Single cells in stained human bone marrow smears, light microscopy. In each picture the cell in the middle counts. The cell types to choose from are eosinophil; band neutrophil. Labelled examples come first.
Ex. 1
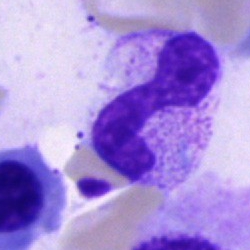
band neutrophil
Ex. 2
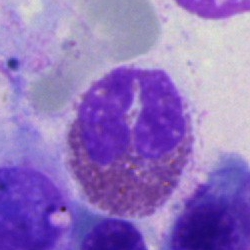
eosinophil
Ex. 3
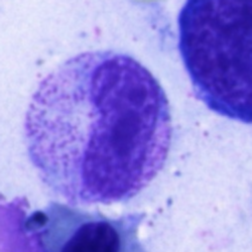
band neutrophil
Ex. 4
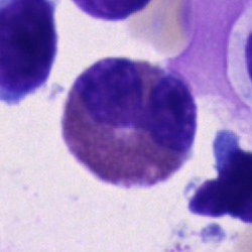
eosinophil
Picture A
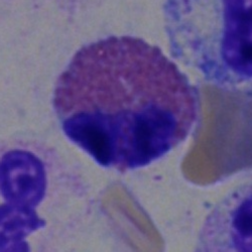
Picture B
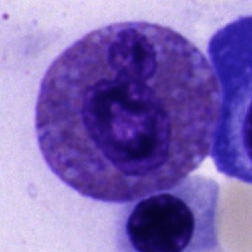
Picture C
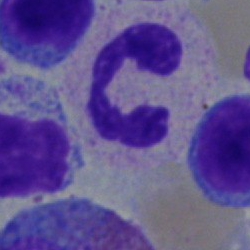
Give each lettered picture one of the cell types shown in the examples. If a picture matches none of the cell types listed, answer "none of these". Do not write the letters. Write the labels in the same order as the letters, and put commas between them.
eosinophil, eosinophil, none of these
